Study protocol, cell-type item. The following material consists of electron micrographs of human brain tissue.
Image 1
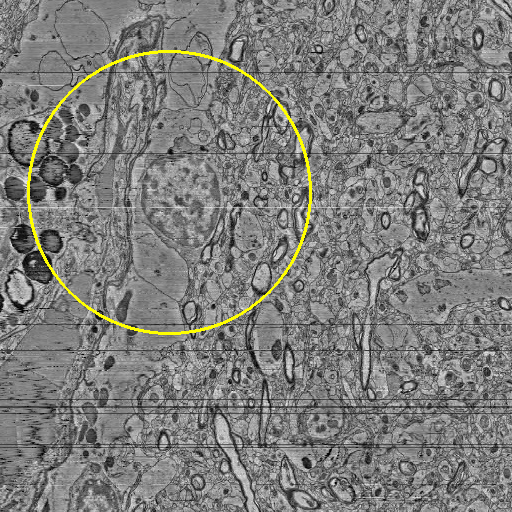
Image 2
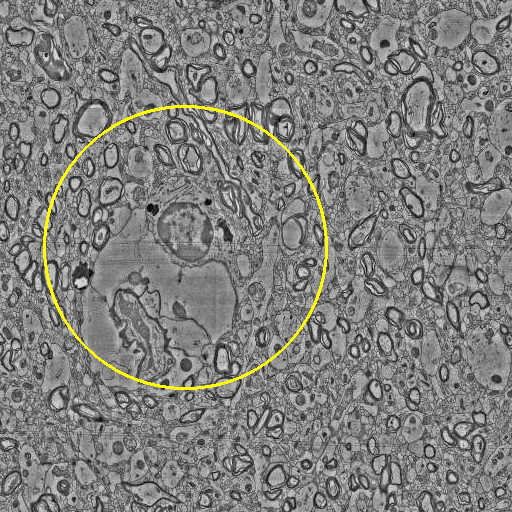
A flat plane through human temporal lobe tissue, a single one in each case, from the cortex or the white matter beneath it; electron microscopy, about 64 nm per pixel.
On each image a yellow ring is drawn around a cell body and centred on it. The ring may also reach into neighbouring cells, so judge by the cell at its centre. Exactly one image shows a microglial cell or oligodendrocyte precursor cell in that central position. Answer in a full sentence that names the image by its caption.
The cell at the centre of the ring in Image 2 is of that kind.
